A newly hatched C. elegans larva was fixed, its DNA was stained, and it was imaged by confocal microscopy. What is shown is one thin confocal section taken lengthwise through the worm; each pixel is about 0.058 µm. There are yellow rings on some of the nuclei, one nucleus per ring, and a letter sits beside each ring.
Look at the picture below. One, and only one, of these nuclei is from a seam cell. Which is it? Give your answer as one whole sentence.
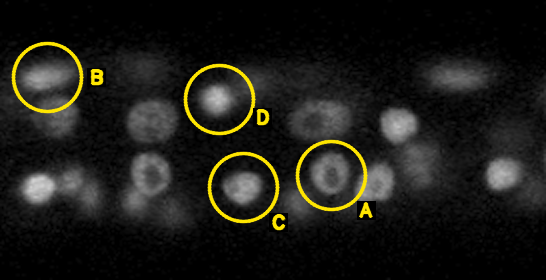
A is from a seam cell.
